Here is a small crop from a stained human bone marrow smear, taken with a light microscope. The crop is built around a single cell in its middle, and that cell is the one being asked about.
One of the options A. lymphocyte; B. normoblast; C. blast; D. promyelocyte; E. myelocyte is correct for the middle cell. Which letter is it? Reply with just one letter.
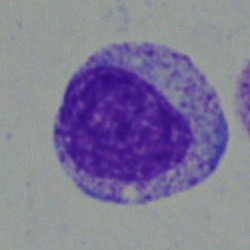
E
